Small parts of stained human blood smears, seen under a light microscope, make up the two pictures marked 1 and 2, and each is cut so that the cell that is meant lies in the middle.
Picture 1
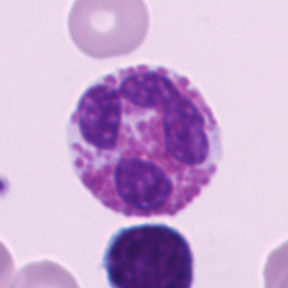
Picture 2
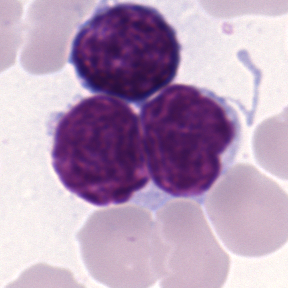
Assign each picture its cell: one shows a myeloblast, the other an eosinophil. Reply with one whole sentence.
The cell in picture 1 is an eosinophil, and the one in picture 2 is a myeloblast.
